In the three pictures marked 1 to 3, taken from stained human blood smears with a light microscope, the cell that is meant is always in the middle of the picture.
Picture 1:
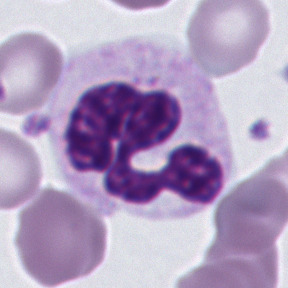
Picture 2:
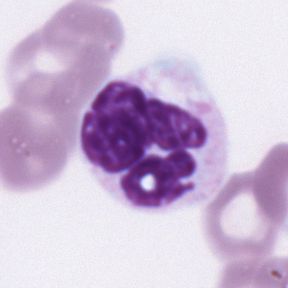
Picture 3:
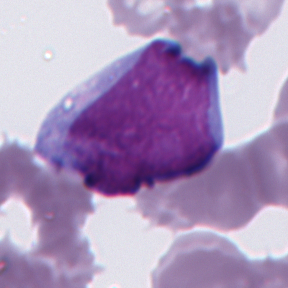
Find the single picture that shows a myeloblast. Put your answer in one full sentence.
The picture with the myeloblast is 3.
